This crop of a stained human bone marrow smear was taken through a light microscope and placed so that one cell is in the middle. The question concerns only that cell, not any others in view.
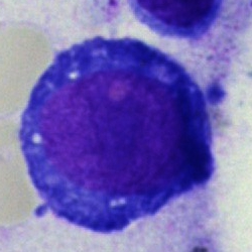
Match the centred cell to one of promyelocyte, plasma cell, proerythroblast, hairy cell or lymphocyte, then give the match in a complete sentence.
The crop shows a proerythroblast in its centre.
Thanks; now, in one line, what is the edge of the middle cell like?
As for its outline, the cell is irregular, ragged or drawn into projections.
